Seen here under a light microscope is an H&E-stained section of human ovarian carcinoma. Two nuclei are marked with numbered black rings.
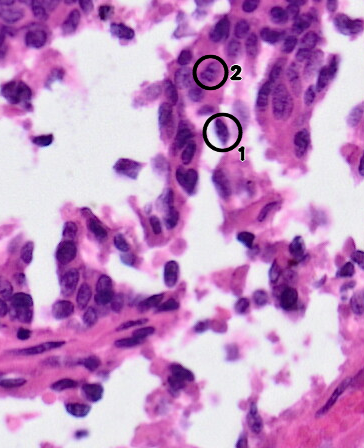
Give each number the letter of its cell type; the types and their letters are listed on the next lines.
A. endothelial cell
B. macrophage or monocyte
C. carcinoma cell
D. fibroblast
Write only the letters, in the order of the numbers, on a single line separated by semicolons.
C; B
